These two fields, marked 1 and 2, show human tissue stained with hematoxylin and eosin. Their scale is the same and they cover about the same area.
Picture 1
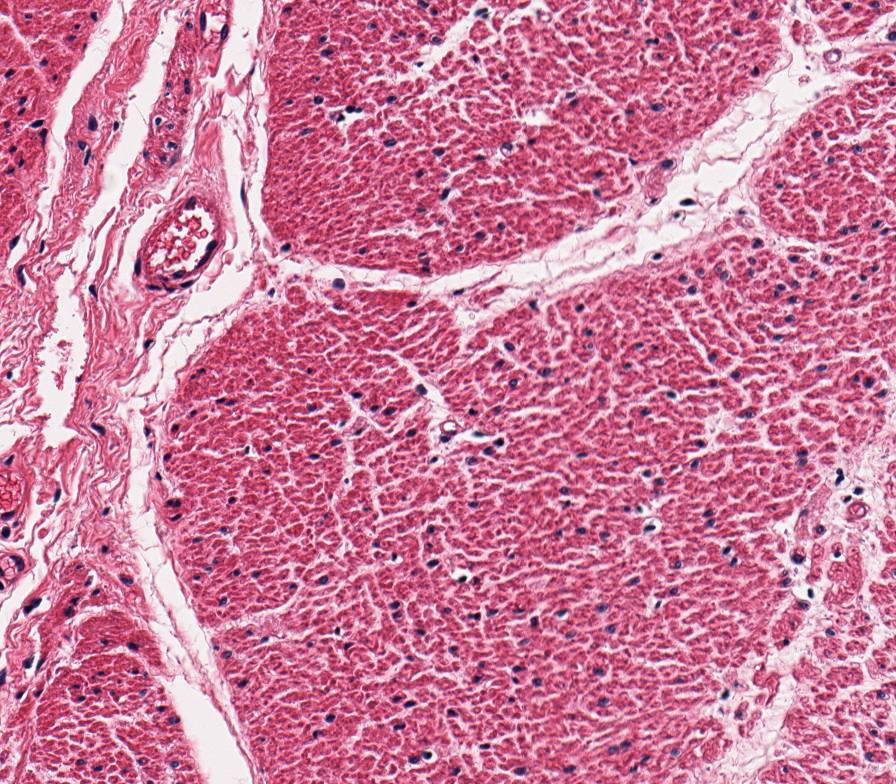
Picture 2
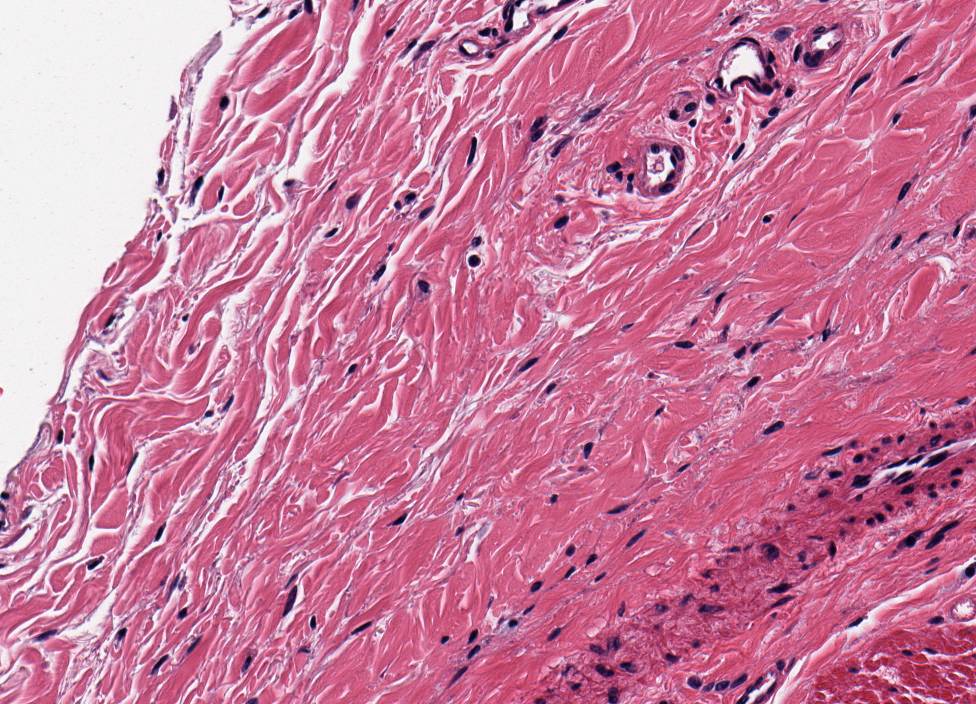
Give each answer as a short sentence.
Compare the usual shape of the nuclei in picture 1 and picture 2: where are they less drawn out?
The nuclei are rounder in picture 1.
